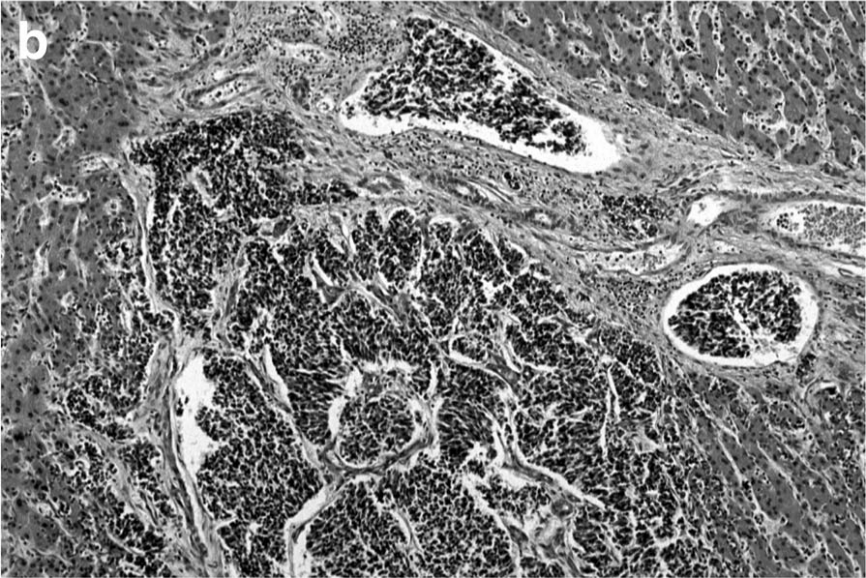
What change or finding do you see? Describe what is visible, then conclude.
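Round and elongated vessel lumina within a fibrous band are filled with clusters of dark tumor cells. A large dark-staining tumor mass lies beside the fibrous band. Paler parenchyma with cords of cells surrounds the fibrous band and the tumor. The answer: portal venous invasion of the tumor cells.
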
